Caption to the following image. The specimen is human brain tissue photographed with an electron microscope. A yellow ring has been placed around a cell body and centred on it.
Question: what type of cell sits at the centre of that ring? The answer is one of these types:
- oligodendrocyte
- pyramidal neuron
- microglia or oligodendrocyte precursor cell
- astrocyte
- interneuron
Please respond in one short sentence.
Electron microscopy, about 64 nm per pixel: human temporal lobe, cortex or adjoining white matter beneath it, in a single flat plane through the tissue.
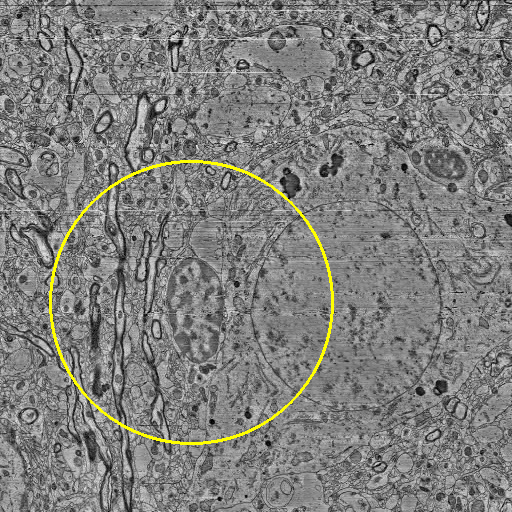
The ring surrounds the cell body of a microglial cell or oligodendrocyte precursor cell.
